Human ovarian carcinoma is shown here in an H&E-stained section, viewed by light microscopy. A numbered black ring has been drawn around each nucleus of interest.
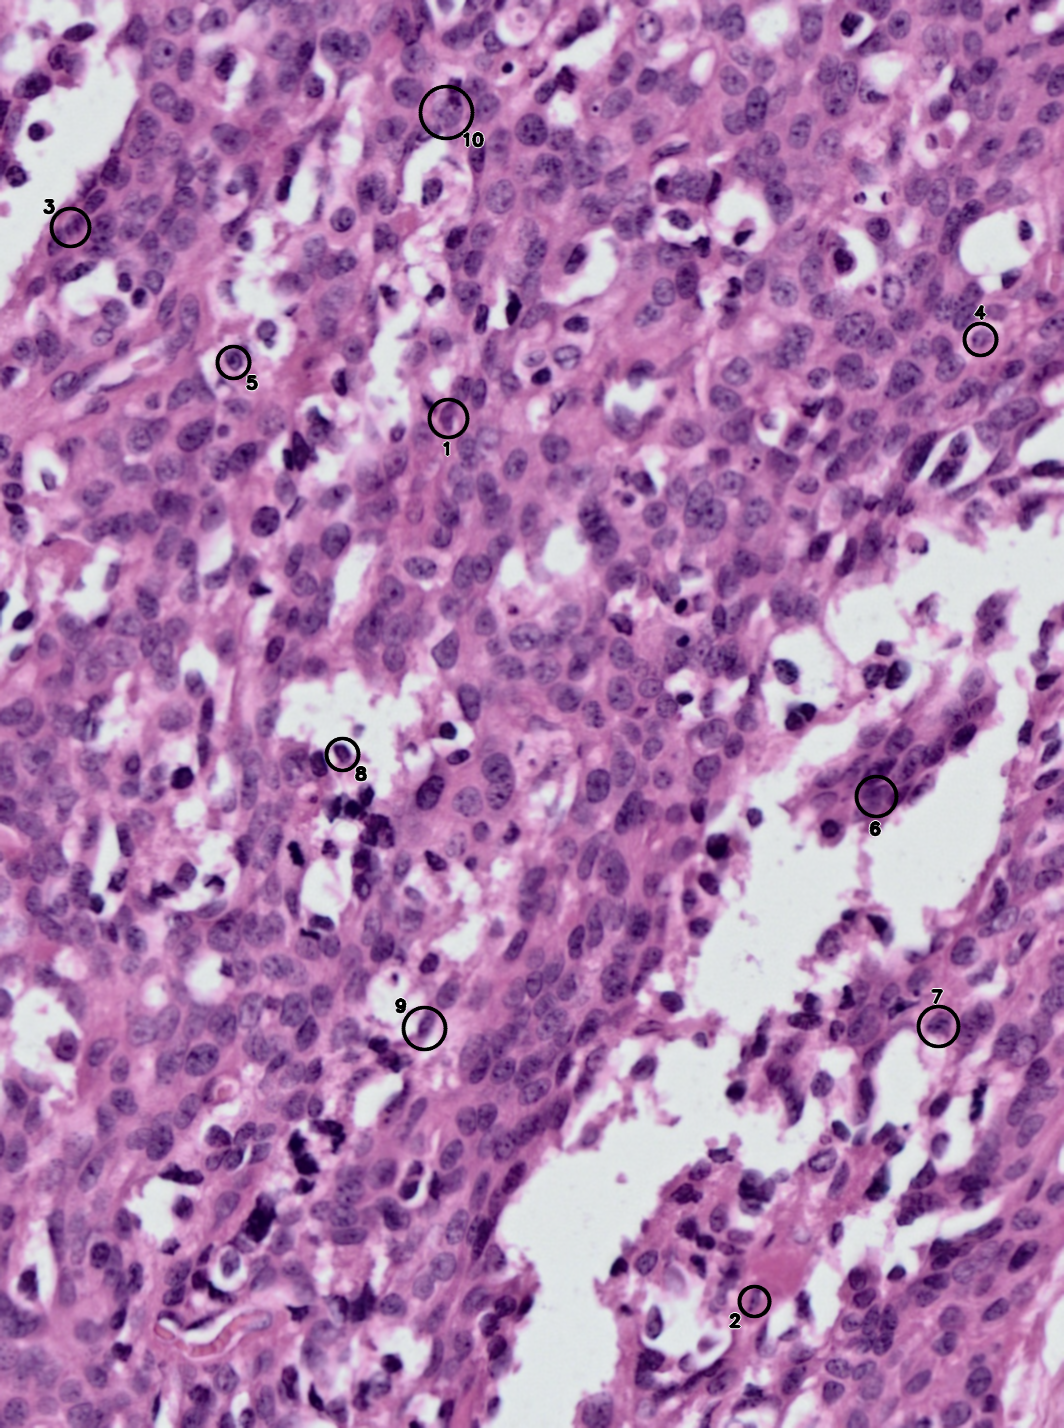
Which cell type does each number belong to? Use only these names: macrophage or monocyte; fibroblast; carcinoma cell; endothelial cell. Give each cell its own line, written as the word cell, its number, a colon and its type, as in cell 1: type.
cell 1: carcinoma cell
cell 2: endothelial cell
cell 3: carcinoma cell
cell 4: macrophage or monocyte
cell 5: macrophage or monocyte
cell 6: carcinoma cell
cell 7: macrophage or monocyte
cell 8: carcinoma cell
cell 9: carcinoma cell
cell 10: carcinoma cell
